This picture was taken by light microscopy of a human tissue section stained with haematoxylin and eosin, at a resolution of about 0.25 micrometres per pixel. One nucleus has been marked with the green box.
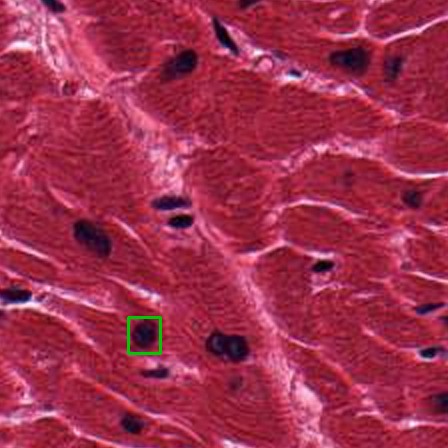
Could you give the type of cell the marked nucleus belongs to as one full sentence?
Within a cardiomyocyte lies the marked nucleus.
